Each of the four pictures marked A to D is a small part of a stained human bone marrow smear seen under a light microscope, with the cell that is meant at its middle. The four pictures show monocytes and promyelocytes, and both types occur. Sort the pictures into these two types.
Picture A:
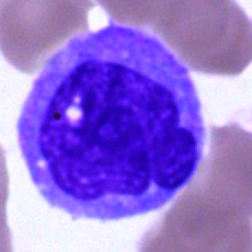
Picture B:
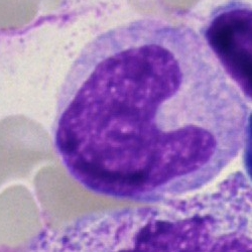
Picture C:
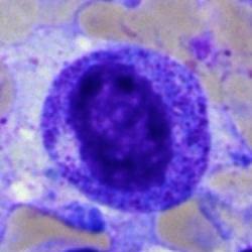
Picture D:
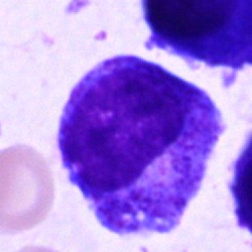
A: monocyte
B: monocyte
C: promyelocyte
D: promyelocyte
